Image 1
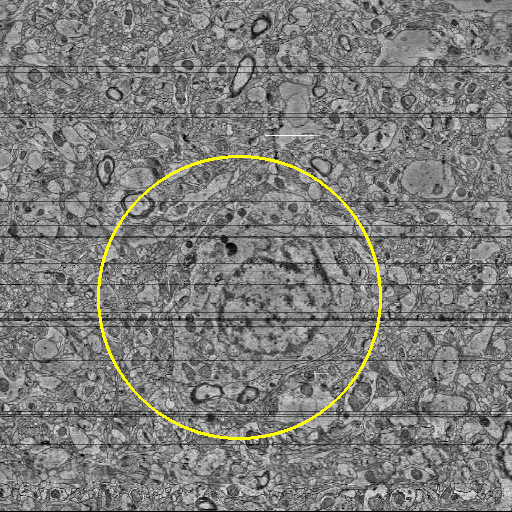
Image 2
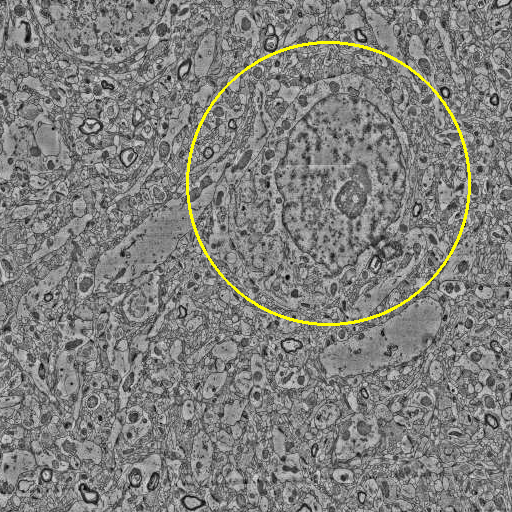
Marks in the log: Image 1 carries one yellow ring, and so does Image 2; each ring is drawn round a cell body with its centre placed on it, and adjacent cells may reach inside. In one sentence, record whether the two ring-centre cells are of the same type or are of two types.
The two cells at the ring centres, one in each image, are of the same type.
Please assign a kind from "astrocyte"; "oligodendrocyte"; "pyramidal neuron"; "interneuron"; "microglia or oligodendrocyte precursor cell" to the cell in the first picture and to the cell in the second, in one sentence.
In both pictures the ring is centred on an interneuron.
